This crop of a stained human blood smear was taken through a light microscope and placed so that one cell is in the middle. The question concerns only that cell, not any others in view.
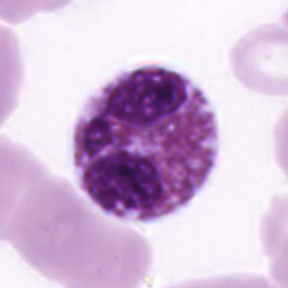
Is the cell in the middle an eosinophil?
yes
